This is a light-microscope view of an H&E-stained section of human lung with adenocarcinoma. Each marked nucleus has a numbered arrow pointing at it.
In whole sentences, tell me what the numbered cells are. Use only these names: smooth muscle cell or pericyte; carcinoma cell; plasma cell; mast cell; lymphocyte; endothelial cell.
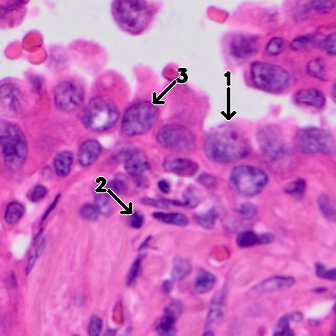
Cell 1 is a carcinoma cell, cell 2 is a plasma cell and cell 3 is a carcinoma cell.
